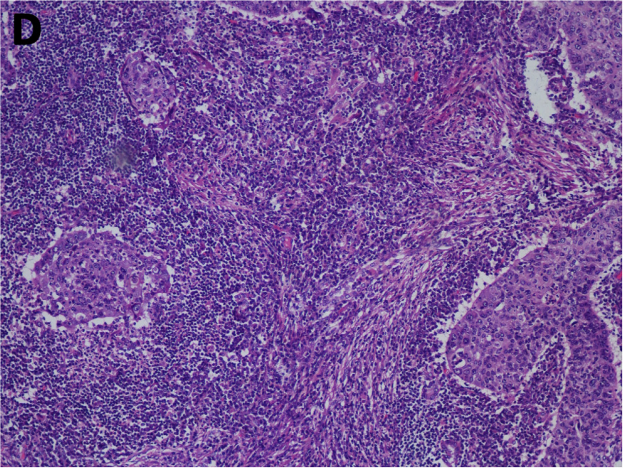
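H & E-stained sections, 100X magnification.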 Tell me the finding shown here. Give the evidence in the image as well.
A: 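Dense sheets of small, dark, round nuclei fill most of the field between tumor islands. Only a few islands of larger, paler tumor cells remain at the edges.
Hence: intense lymphocyte infiltration into the stroma.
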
